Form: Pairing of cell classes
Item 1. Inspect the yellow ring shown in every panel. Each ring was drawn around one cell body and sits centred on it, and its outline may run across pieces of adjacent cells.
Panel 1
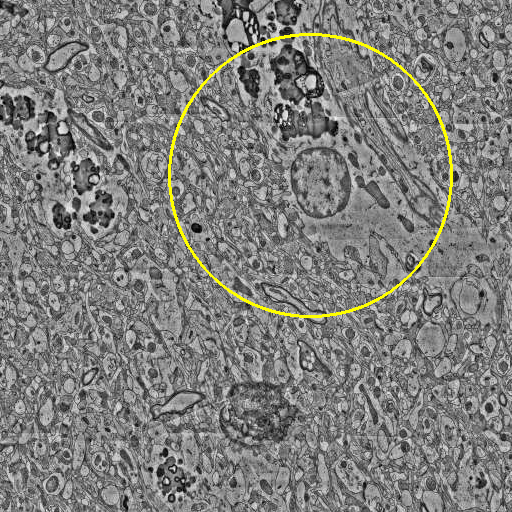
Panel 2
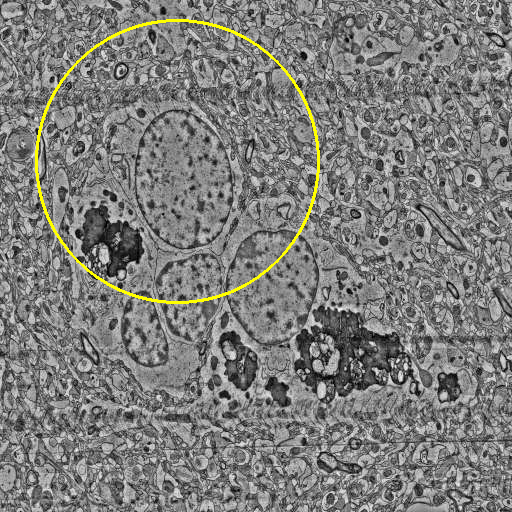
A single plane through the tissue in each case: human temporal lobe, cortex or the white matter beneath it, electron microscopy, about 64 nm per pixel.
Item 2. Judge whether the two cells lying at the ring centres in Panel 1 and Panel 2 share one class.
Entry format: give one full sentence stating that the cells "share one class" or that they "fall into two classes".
The cells at the ring centres in Panel 1 and Panel 2 share one class.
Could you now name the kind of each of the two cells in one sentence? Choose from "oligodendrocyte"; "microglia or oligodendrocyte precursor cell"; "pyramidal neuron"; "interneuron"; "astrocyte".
In the first picture and in the second, the ring is centred on an astrocyte.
